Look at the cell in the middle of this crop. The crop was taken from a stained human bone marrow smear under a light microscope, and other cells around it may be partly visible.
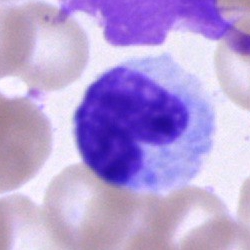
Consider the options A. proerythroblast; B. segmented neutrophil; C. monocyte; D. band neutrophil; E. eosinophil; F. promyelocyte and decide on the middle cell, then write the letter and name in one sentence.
Option D is the correct one; it names the central cell as a band neutrophil.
